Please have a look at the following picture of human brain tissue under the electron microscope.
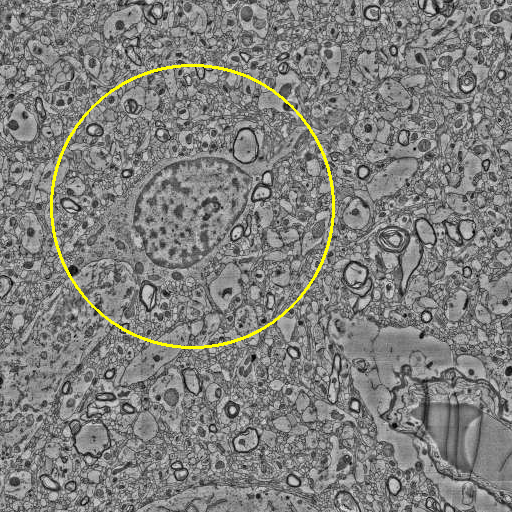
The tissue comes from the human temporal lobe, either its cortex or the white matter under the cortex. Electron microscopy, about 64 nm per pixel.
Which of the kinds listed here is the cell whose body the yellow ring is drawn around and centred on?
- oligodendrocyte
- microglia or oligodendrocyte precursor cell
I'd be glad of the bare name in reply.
oligodendrocyte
